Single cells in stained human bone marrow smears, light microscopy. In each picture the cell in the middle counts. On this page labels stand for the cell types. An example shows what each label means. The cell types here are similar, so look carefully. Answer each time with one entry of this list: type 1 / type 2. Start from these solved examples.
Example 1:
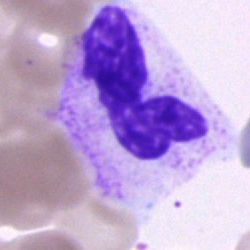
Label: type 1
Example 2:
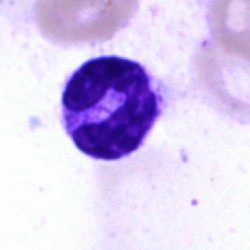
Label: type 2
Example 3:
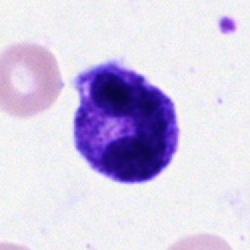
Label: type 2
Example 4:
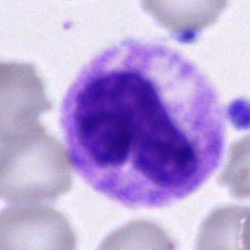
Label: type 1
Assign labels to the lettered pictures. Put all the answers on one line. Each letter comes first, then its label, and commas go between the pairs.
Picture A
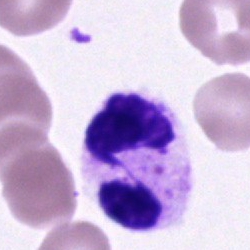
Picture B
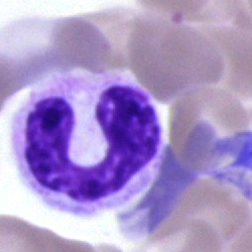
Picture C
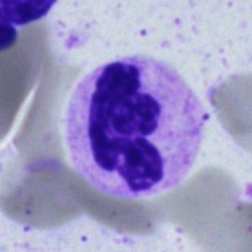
A type 2, B type 1, C type 2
